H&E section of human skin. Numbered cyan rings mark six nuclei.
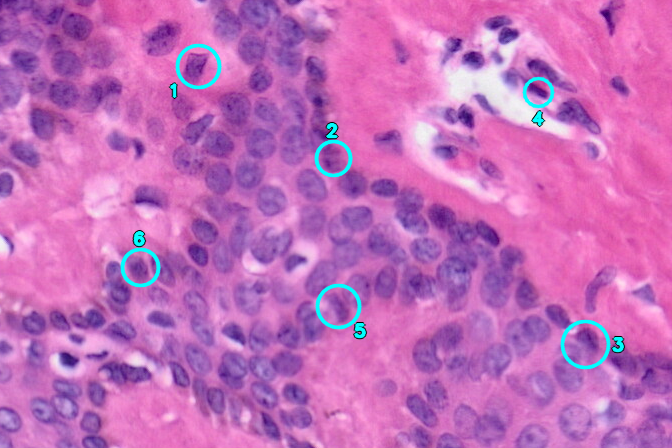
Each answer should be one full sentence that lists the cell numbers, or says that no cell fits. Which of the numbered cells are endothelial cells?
Cell 4 is an endothelial cell, while every other numbered cell is not.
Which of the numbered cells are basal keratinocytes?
By cell type, the cells numbered 2, 3, 5 and 6 are basal keratinocytes.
